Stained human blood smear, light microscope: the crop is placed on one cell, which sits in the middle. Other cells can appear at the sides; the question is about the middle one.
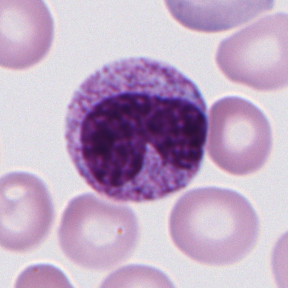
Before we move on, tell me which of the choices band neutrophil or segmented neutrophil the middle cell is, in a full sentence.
In the central position of this crop, the cell is a band neutrophil.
